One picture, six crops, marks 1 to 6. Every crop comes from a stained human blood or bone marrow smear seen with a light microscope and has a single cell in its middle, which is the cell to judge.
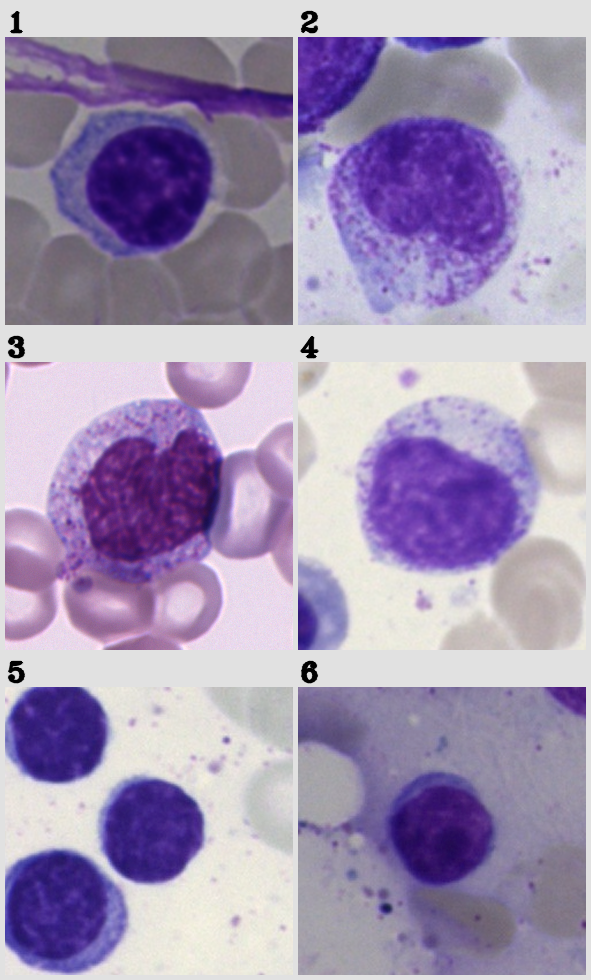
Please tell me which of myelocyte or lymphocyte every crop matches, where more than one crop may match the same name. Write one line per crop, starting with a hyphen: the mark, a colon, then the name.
- 1: lymphocyte
- 2: myelocyte
- 3: myelocyte
- 4: myelocyte
- 5: lymphocyte
- 6: lymphocyte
